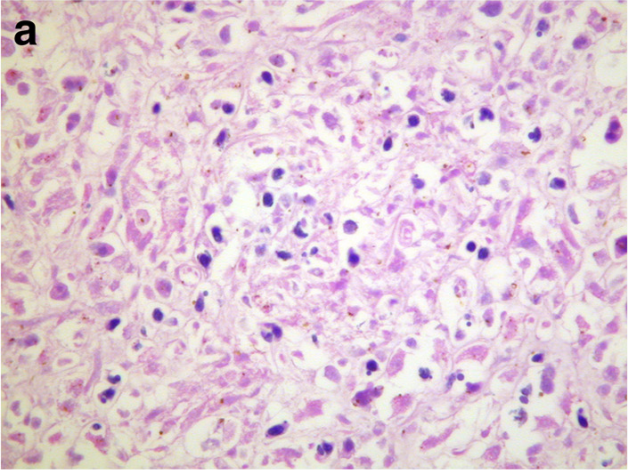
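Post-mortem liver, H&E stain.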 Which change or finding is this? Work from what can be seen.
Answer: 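Hepatocyte necrosis. Liver cell plates are disorganised and pale. Many cells have pale cytoplasm with faint or lost nuclei. Scattered small dark nuclei lie among the damaged cells.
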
